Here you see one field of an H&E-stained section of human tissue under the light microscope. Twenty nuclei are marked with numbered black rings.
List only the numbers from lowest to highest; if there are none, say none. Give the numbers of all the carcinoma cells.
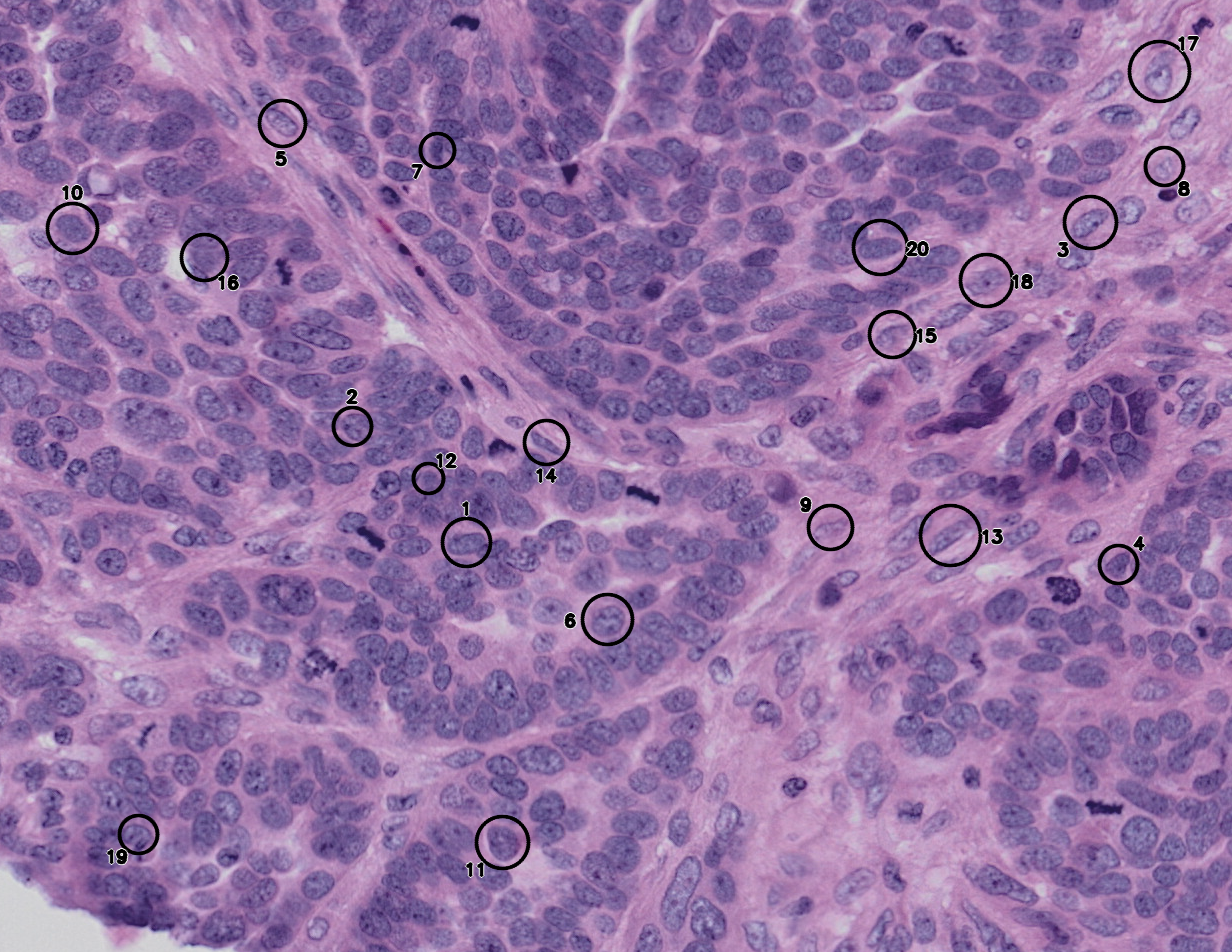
1, 2, 4, 6, 7, 10, 11, 12, 16, 19, 20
